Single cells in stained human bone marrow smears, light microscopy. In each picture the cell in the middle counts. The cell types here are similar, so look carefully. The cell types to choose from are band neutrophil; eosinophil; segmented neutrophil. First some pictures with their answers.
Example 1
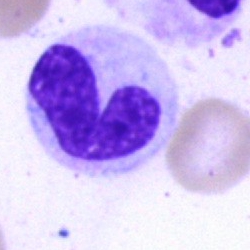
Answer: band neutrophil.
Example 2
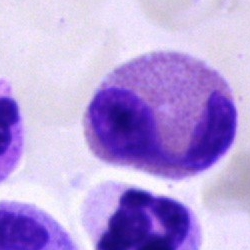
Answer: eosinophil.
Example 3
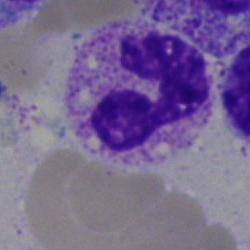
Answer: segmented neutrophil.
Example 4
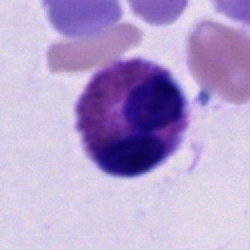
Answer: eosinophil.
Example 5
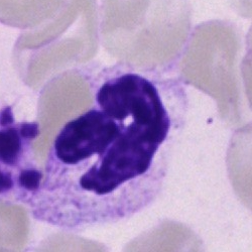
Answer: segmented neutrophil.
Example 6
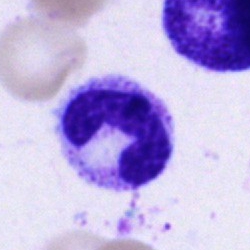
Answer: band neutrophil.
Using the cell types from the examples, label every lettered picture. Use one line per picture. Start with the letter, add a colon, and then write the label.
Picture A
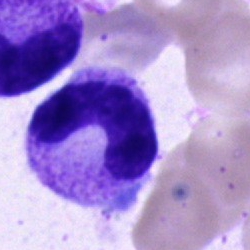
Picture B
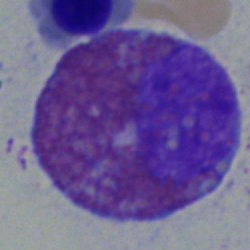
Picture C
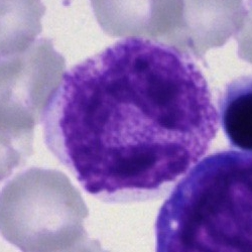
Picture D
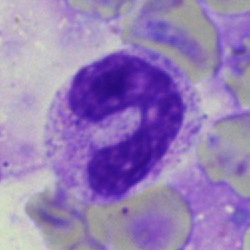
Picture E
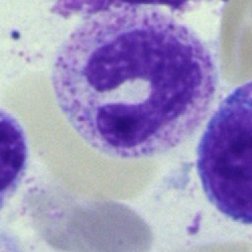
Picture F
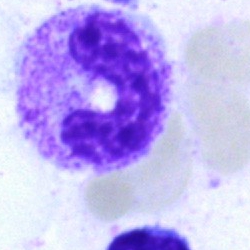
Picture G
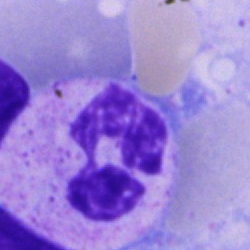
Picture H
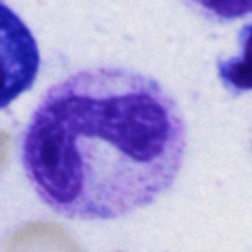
A: band neutrophil.
B: eosinophil.
C: band neutrophil.
D: band neutrophil.
E: band neutrophil.
F: band neutrophil.
G: segmented neutrophil.
H: band neutrophil.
